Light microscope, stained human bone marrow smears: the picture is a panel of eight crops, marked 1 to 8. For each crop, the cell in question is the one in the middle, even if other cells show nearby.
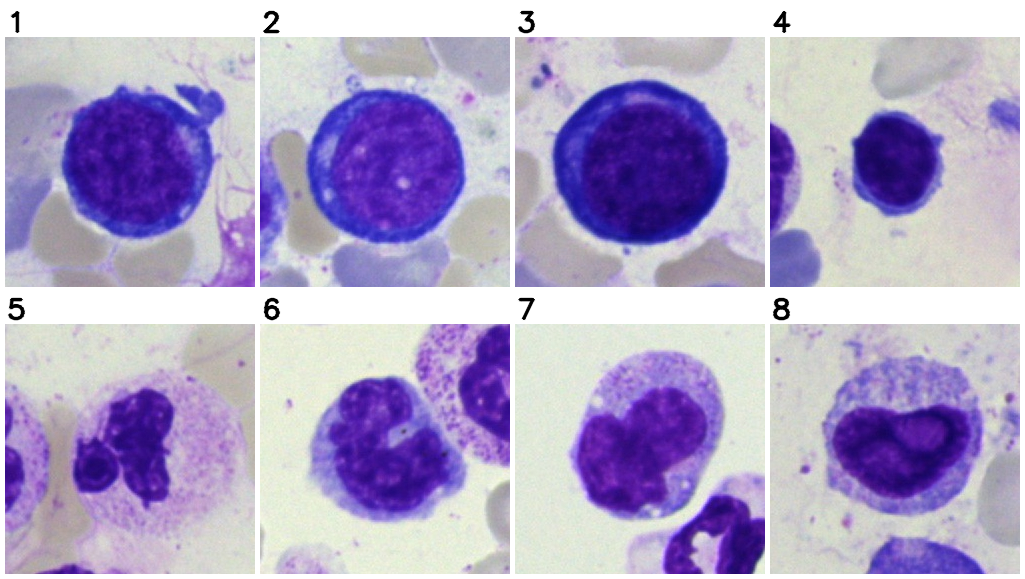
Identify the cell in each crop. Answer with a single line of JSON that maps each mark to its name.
{"1": "proerythroblast", "2": "proerythroblast", "3": "proerythroblast", "4": "lymphocyte", "5": "segmented neutrophil", "6": "monocyte", "7": "monocyte", "8": "myelocyte"}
